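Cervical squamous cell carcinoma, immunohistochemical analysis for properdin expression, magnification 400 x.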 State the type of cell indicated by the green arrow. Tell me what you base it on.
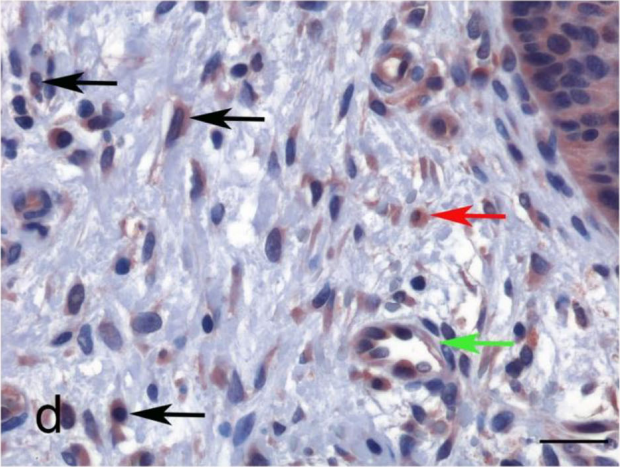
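The arrow points to a cell in the wall of a small vessel with a narrow lumen. The cells around the lumen have brown-stained cytoplasm.
Answer: endothelial cells of vessels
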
